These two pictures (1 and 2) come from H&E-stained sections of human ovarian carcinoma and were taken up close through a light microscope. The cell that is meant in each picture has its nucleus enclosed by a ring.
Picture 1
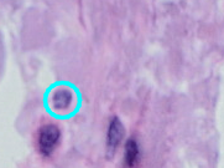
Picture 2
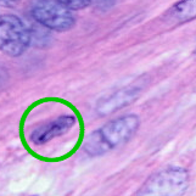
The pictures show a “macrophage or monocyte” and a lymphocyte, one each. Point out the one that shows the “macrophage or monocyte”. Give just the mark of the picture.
2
